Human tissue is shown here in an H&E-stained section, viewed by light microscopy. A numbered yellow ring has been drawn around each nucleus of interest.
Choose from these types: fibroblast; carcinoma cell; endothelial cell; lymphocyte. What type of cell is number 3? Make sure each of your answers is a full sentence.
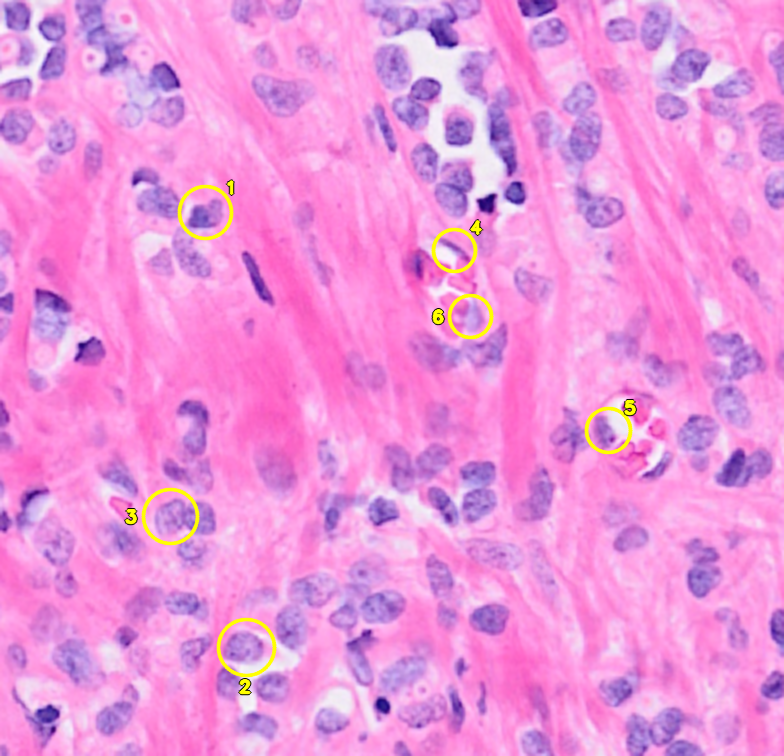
Cell 3, among those numbered, is a carcinoma cell.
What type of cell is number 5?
The cell that goes by number 5 is an endothelial cell.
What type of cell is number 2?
Of the numbered cells, the one labelled 2 is a carcinoma cell.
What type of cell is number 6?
Looking at the numbered marks, cell 6 is an endothelial cell.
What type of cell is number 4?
Identified by the number 4, the cell is an endothelial cell.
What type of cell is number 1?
Corresponding to a lymphocyte is the cell labelled 1.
